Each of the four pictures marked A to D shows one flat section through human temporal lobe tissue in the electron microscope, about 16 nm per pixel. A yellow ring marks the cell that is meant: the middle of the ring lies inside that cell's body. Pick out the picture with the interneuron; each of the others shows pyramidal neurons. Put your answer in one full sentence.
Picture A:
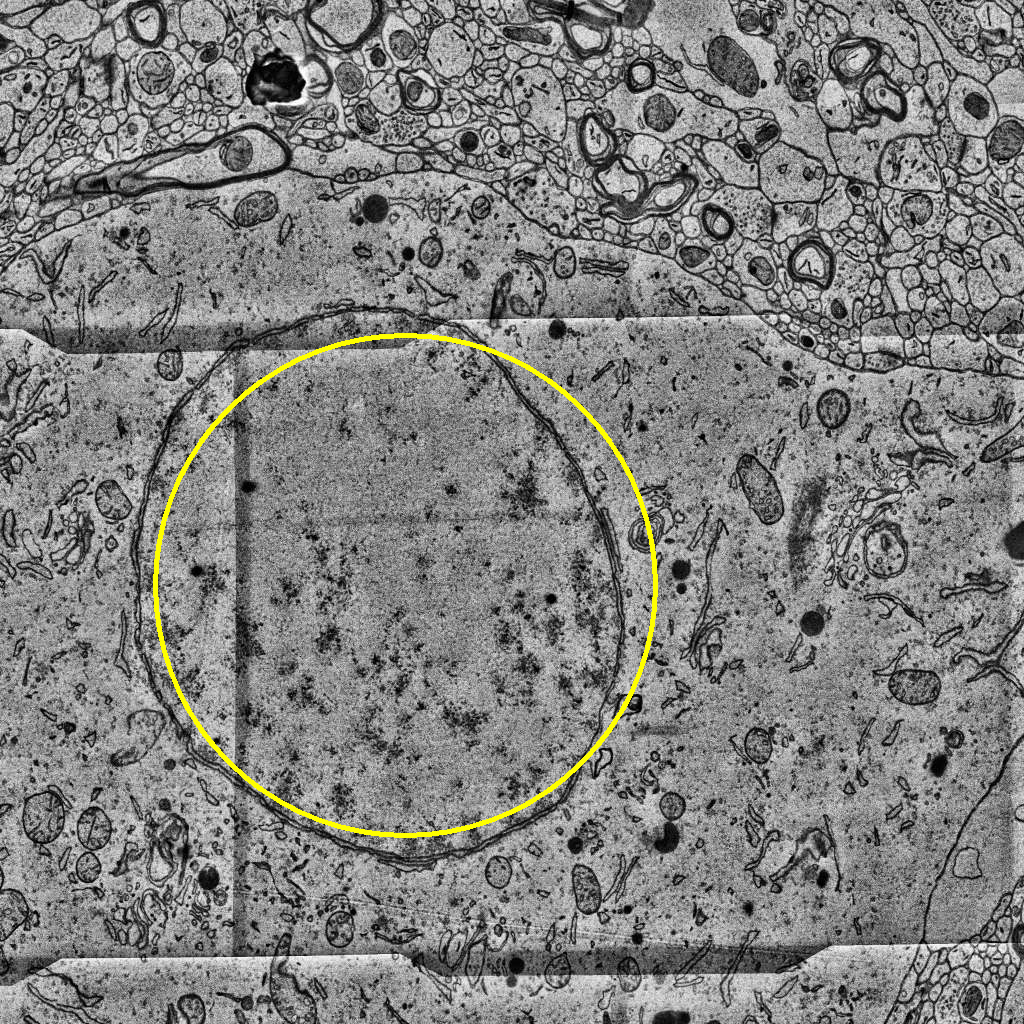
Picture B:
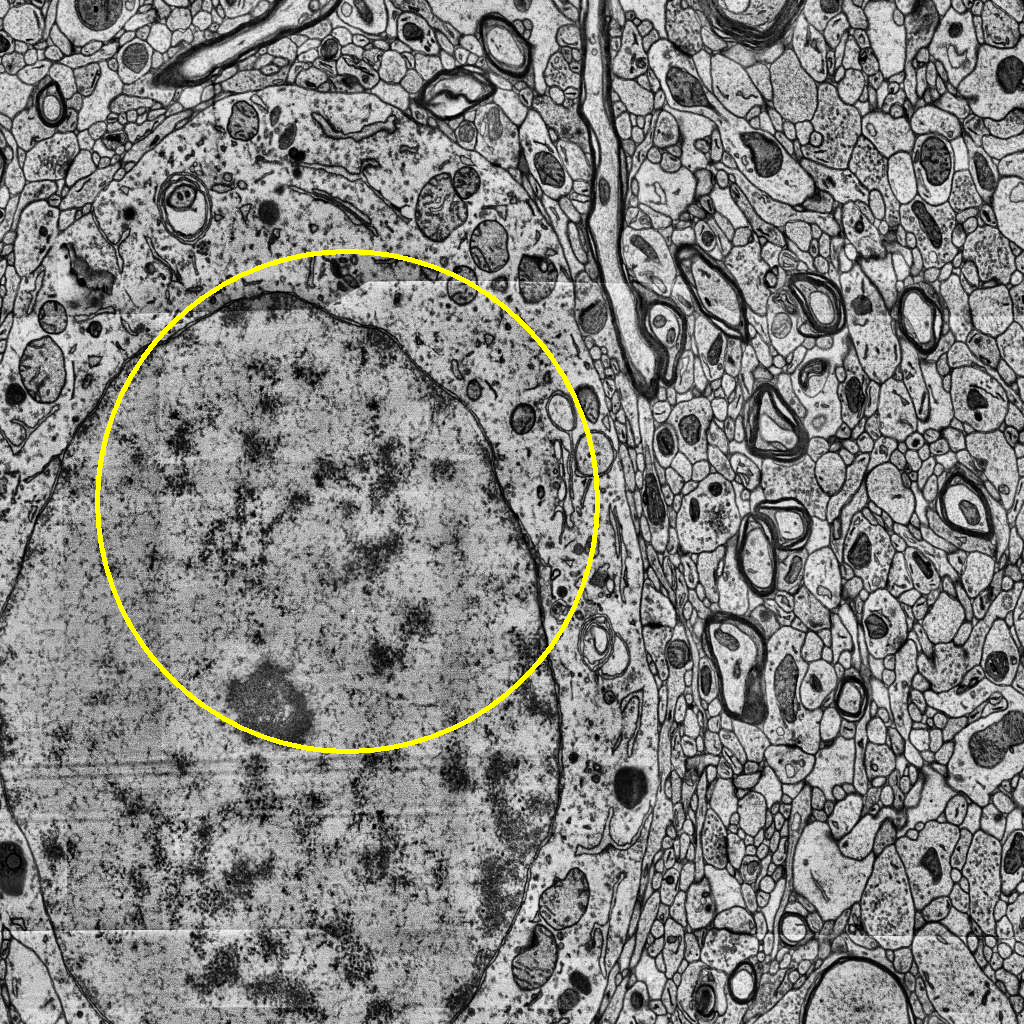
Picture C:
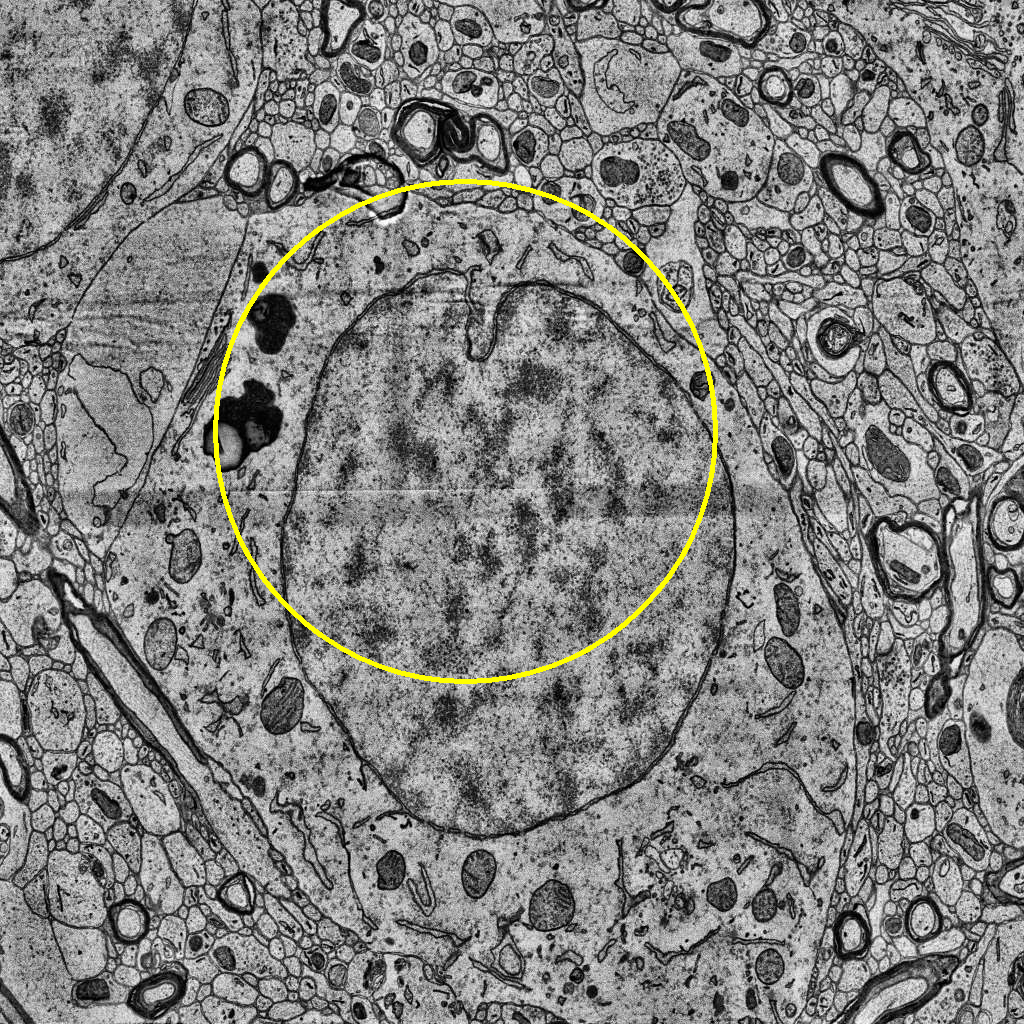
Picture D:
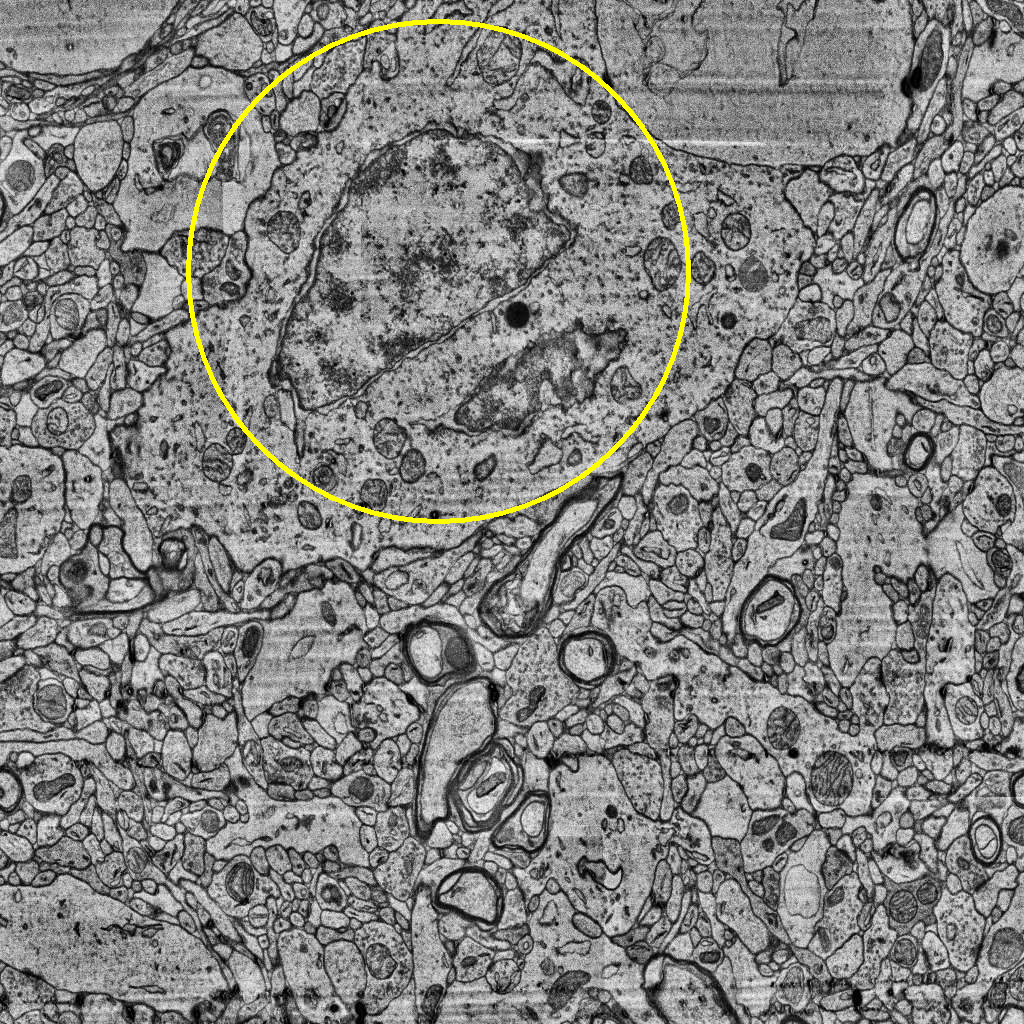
It is picture D that shows the interneuron.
